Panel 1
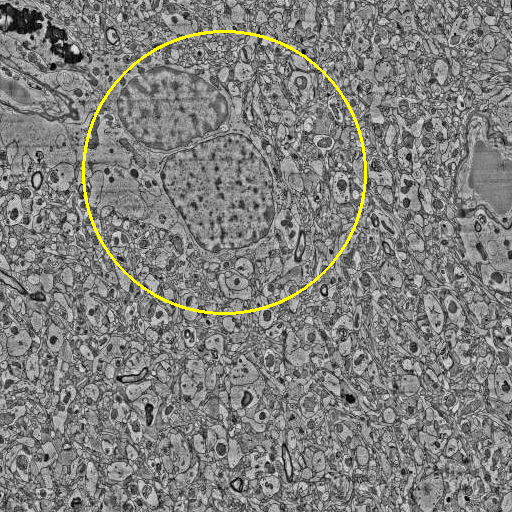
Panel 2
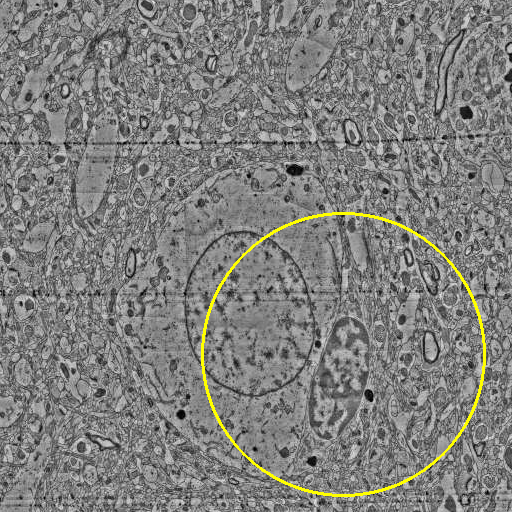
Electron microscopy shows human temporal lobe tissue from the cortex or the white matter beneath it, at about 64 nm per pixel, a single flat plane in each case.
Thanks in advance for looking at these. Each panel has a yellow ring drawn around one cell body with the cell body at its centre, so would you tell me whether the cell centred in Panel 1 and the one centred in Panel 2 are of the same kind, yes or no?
yes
